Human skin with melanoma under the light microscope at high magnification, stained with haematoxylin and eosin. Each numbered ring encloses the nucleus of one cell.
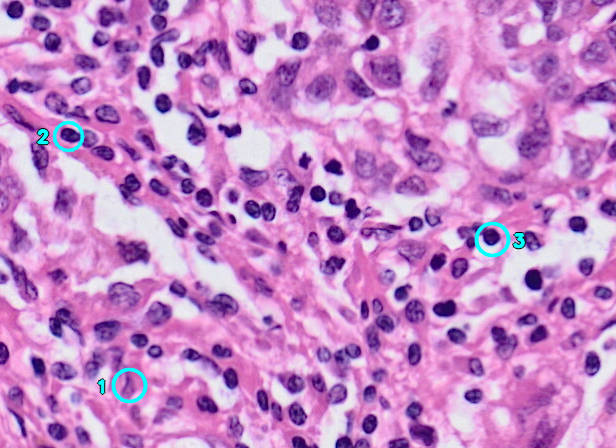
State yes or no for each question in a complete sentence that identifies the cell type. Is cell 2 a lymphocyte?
Yes, of the numbered cells, number 2 is a lymphocyte.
